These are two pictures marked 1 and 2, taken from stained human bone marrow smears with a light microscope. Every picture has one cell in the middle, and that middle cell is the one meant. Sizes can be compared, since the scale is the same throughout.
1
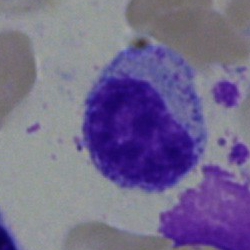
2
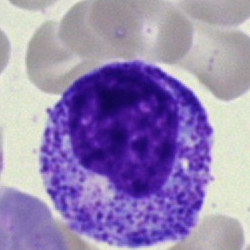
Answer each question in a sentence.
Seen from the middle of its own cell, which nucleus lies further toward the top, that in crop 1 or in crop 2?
Seen within its cell, the nucleus in crop 2 lies further toward the top.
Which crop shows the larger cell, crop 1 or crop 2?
The cell in crop 2 is larger, with about 2 times the area of the one in crop 1.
